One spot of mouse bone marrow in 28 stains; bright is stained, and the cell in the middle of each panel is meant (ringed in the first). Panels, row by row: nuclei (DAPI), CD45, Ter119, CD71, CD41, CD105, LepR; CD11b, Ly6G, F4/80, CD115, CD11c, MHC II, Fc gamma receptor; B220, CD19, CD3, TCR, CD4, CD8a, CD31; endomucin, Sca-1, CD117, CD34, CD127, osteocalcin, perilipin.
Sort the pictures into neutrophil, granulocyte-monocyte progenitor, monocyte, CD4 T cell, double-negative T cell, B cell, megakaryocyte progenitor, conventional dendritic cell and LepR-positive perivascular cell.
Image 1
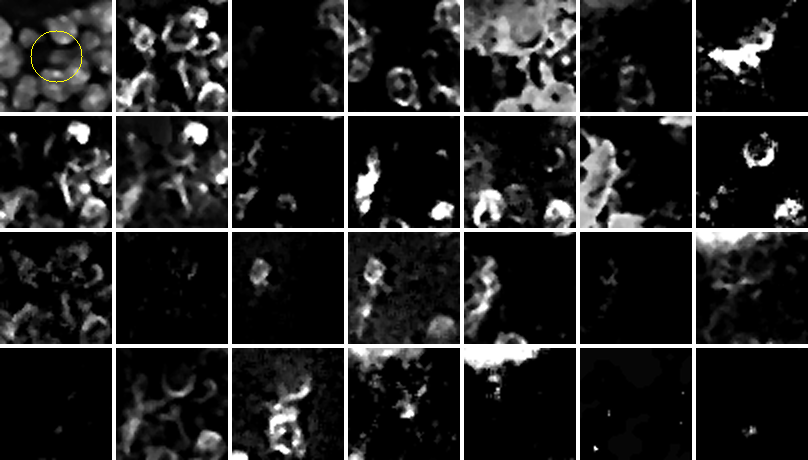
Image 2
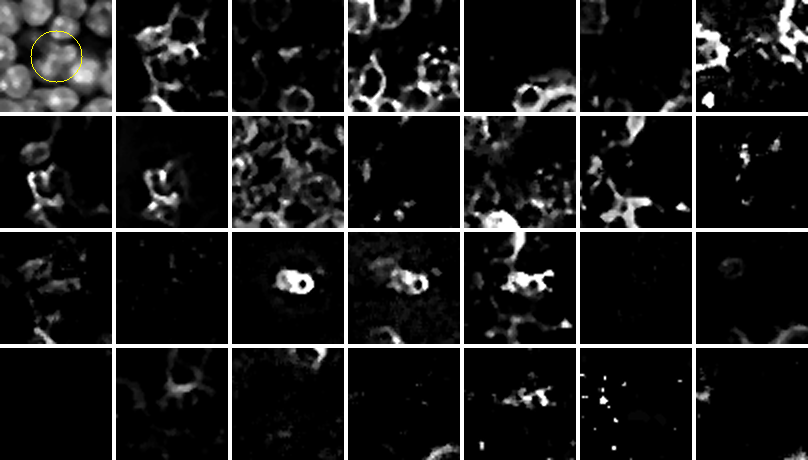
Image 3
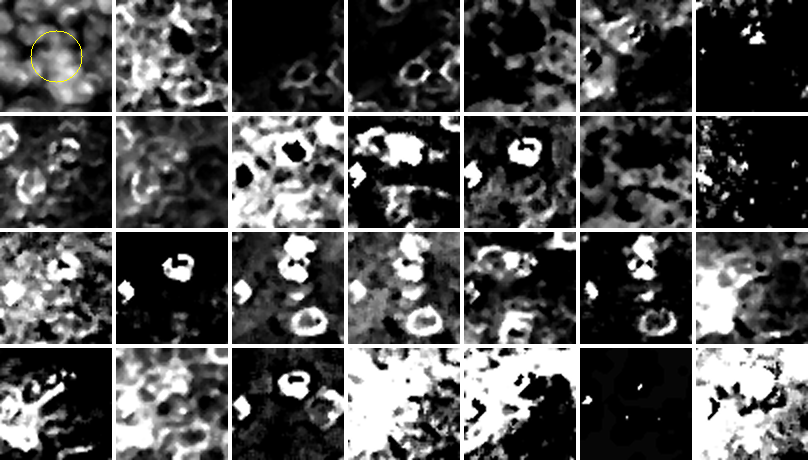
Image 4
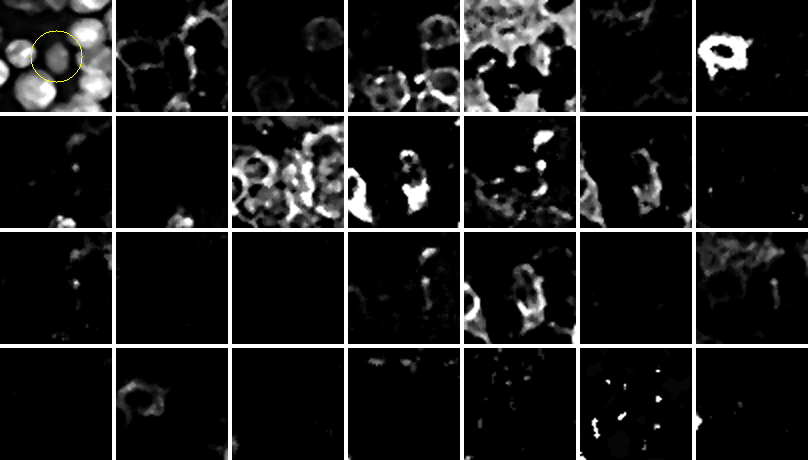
Megakaryocyte progenitors: 1
CD4 T cells: 2
Double-negative T cells: 3
LepR-positive perivascular cells: 4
